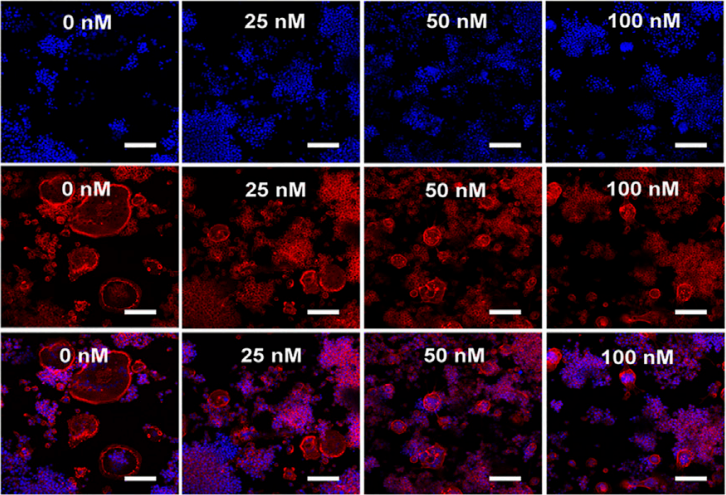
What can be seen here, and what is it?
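Cultured osteoclasts and smaller precursor cells are seen in fluorescence, with blue nuclei crowded in dense clusters and red staining throughout the cells. The osteoclasts stand out as large rounded cells bounded by a bright red ring at their margin that encloses several blue nuclei. These ringed cells are largest and most striking in the leftmost column and become smaller and fewer towards the right, where small red-rimmed cells and diffuse red clusters prevail.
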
